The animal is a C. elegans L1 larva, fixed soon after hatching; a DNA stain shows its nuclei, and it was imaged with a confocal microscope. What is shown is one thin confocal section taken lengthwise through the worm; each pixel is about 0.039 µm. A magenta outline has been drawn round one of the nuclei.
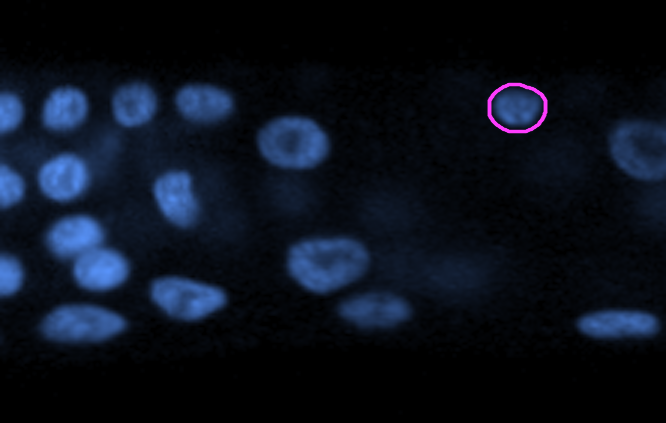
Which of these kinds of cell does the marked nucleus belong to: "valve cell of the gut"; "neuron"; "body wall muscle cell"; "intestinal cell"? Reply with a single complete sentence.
The marked nucleus is that of a body wall muscle cell.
